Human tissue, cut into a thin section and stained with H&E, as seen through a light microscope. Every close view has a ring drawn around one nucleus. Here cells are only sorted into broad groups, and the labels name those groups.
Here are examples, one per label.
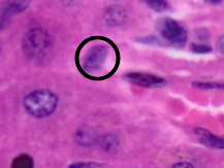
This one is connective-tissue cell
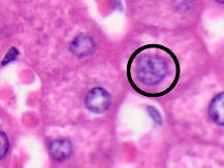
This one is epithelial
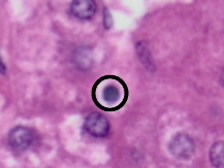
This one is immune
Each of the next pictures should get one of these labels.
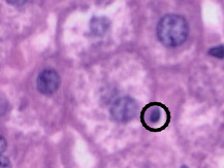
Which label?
immune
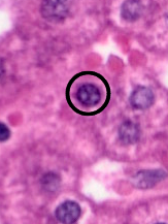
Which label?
epithelial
